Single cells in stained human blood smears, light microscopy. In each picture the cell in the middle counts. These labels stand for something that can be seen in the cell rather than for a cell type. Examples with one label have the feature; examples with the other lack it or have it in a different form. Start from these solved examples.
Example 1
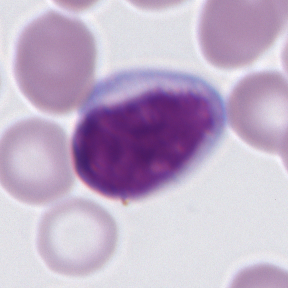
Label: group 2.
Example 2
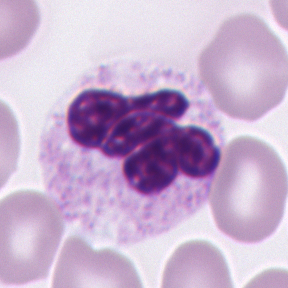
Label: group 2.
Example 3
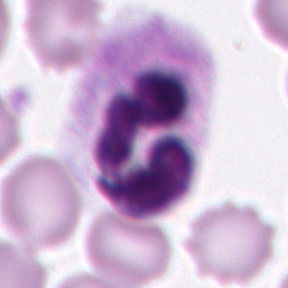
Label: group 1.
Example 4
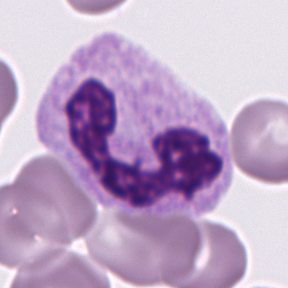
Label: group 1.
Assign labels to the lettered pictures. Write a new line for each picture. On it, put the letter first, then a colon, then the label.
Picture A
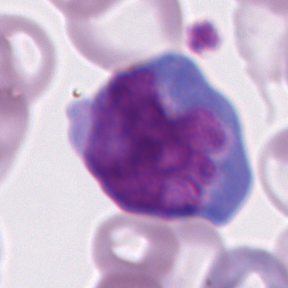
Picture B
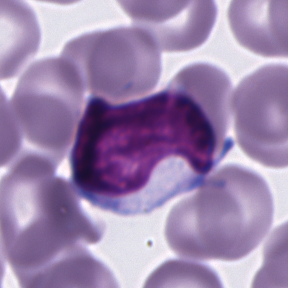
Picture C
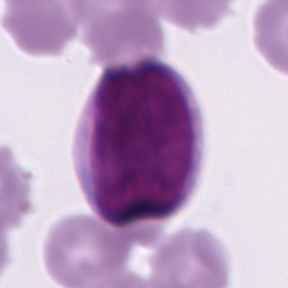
A: group 1.
B: group 1.
C: group 2.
